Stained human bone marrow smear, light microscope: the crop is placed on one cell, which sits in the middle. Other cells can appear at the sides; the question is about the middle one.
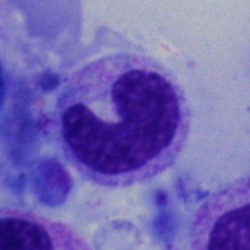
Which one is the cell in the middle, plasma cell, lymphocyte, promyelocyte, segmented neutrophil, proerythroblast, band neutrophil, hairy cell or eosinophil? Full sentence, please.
This particular crop is centered on a band neutrophil.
